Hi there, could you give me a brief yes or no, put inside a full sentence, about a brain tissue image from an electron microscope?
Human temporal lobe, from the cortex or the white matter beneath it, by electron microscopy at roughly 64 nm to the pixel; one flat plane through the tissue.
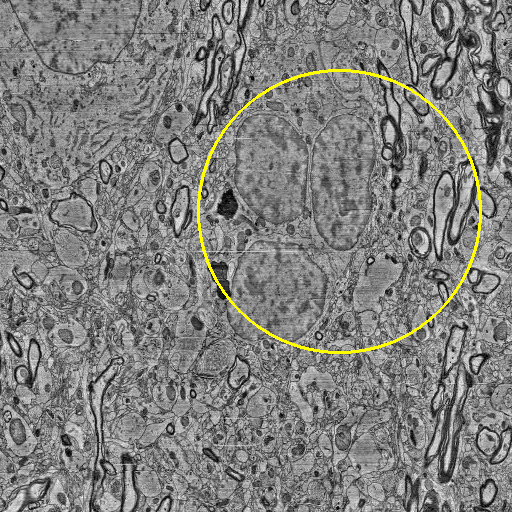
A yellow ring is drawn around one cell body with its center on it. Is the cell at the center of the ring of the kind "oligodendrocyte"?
Yes, the cell found at the center of the yellow ring is of that kind.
